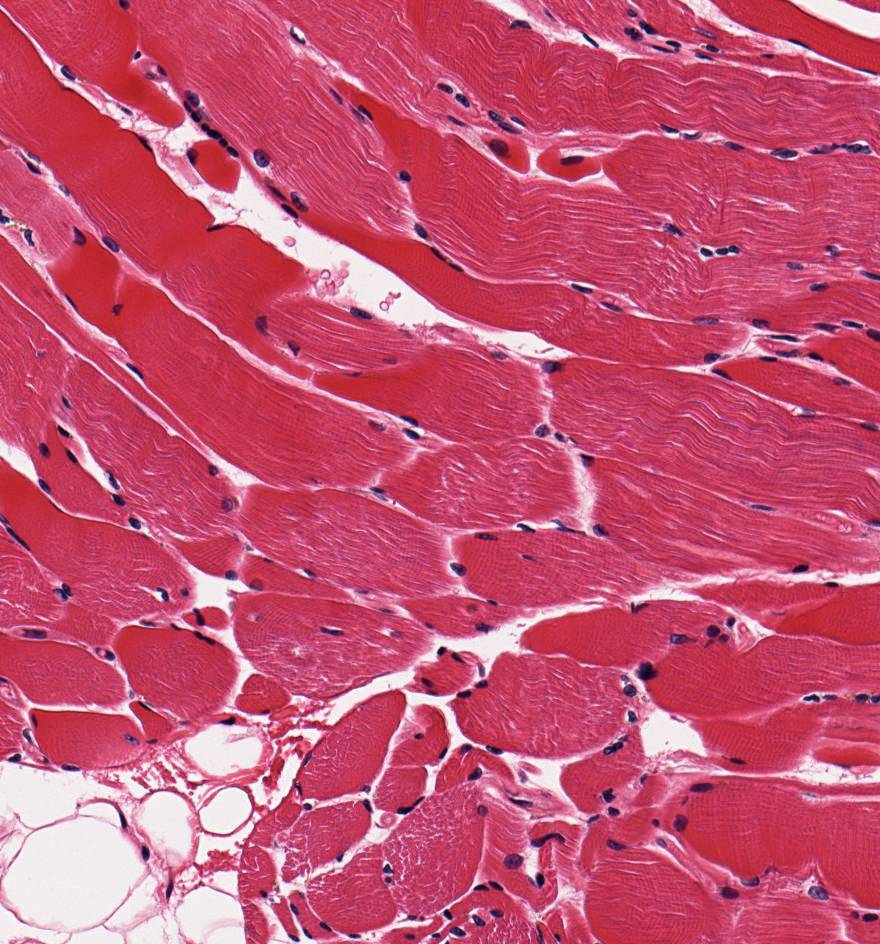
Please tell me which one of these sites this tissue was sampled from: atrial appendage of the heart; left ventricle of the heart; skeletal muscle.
skeletal muscle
